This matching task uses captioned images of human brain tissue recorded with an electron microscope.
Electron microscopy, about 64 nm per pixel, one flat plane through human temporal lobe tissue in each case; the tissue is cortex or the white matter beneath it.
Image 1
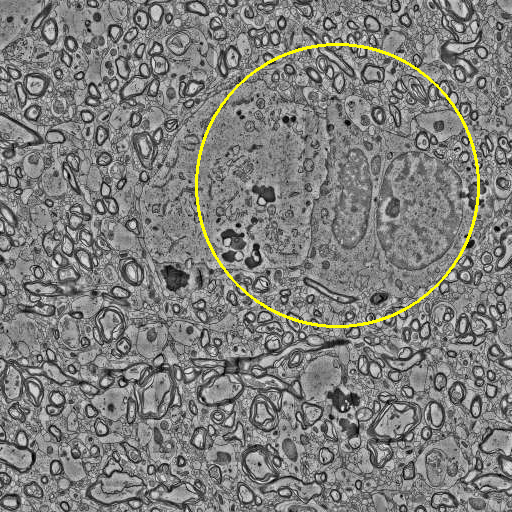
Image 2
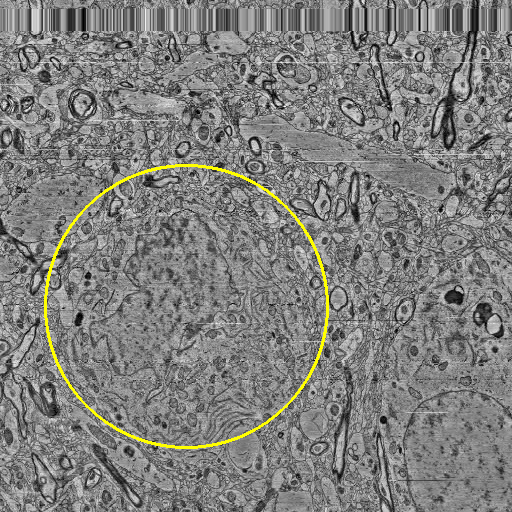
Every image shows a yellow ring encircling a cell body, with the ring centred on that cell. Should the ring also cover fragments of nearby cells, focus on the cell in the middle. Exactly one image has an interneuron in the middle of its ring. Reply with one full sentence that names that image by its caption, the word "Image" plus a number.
Image 2 shows the cell in question at the centre of its yellow ring.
